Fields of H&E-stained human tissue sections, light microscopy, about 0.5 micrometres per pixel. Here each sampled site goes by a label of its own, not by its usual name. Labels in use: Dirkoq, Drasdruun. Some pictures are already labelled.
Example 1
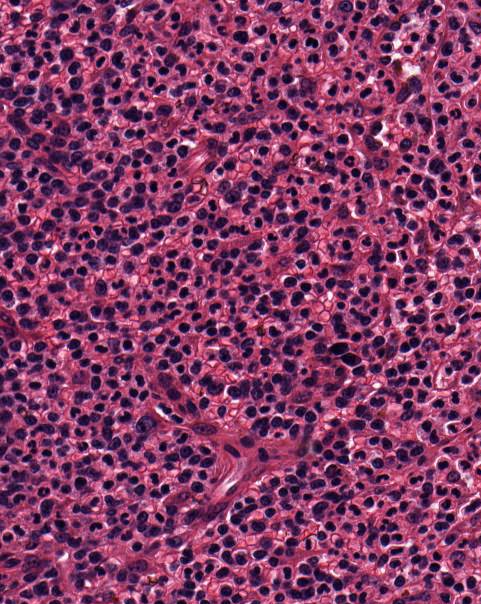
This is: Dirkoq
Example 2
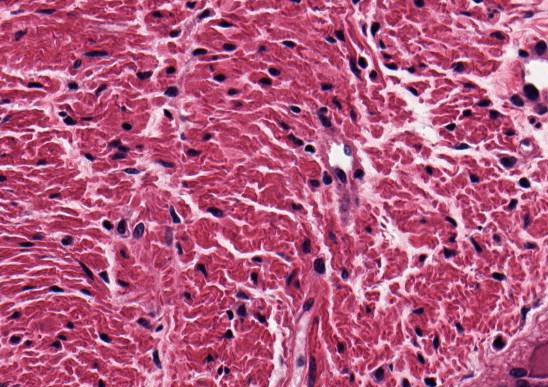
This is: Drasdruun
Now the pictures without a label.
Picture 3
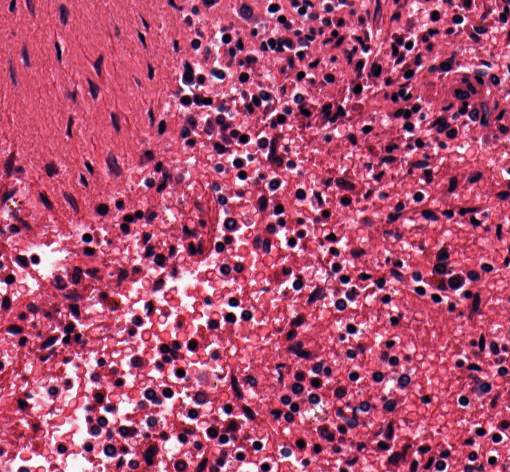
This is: Dirkoq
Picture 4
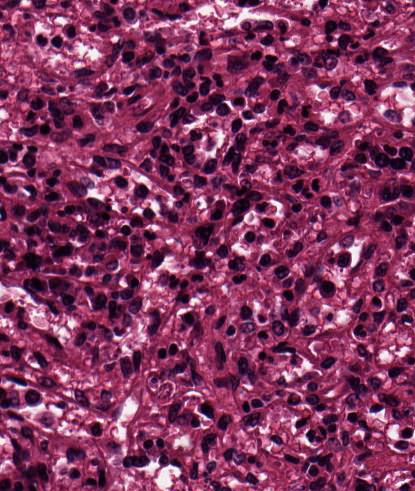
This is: Dirkoq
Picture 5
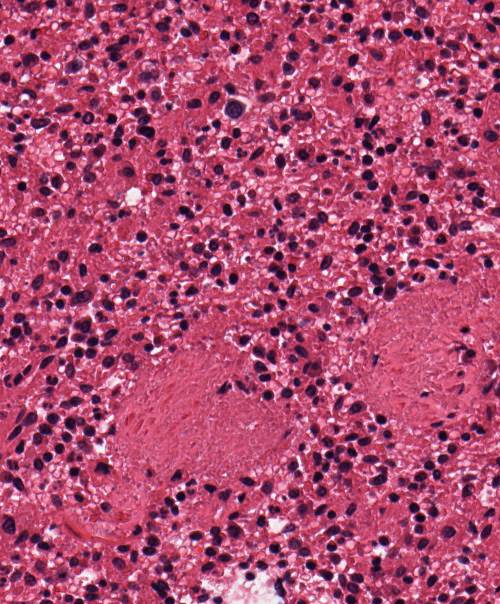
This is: Dirkoq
